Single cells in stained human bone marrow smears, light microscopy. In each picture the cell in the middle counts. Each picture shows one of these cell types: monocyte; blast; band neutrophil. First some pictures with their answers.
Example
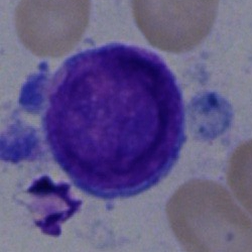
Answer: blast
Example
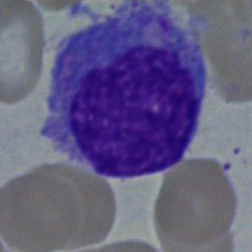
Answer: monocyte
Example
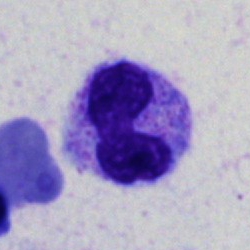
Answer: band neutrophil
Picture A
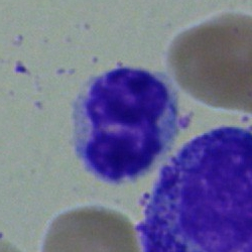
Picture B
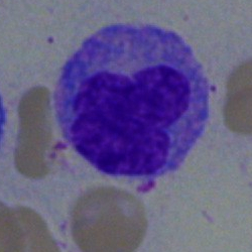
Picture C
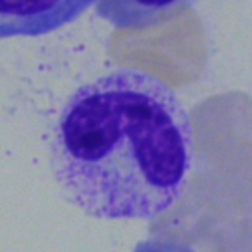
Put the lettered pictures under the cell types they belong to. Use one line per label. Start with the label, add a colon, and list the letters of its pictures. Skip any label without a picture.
monocyte: A, B
band neutrophil: C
